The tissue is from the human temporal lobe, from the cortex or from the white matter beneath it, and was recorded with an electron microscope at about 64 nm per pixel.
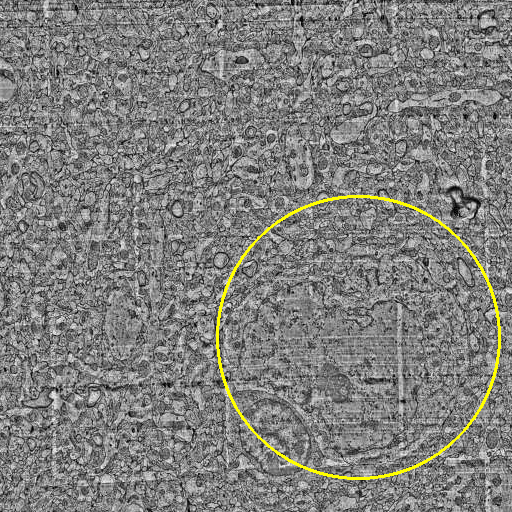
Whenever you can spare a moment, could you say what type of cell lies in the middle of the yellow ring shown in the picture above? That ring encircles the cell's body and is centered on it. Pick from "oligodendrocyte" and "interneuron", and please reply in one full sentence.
The cell whose body sits at the middle of the yellow ring is an interneuron.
